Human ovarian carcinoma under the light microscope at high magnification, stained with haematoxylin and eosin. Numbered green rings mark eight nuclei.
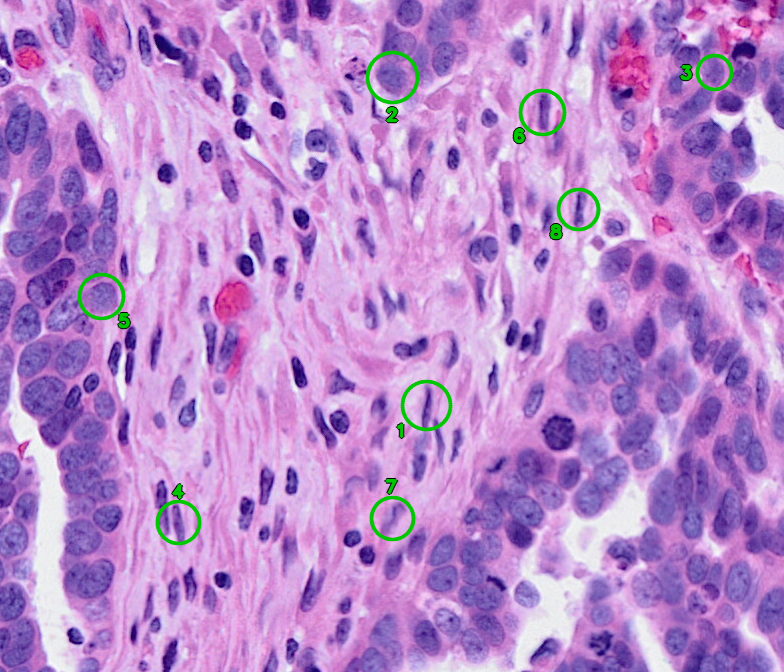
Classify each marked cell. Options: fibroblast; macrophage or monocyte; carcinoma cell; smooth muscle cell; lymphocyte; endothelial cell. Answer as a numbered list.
1. fibroblast
2. carcinoma cell
3. carcinoma cell
4. fibroblast
5. carcinoma cell
6. fibroblast
7. fibroblast
8. fibroblast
